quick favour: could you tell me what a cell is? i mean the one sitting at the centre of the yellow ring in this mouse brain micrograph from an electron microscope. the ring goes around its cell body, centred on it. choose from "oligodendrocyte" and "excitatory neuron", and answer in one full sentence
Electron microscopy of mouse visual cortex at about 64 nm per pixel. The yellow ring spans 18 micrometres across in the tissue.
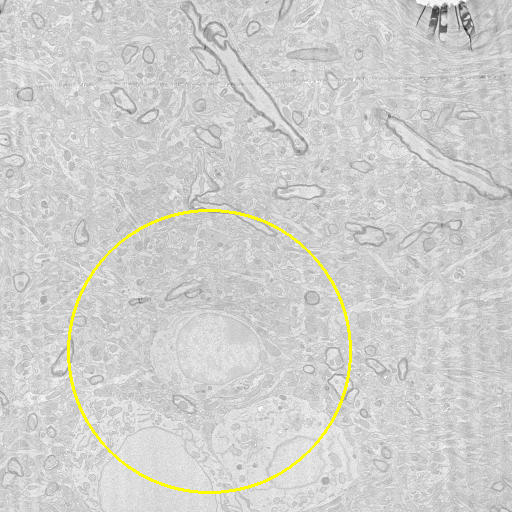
That's an oligodendrocyte, the cell sitting at the centre of the yellow ring.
